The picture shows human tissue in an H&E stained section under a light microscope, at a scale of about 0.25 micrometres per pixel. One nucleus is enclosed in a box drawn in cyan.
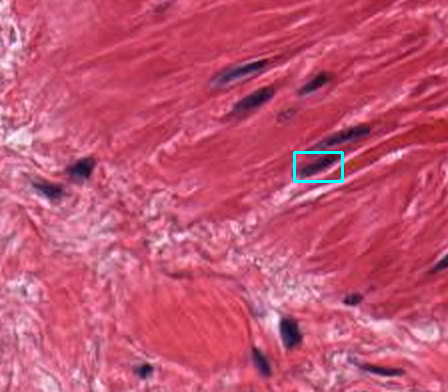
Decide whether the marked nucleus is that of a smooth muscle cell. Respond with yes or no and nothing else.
yes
